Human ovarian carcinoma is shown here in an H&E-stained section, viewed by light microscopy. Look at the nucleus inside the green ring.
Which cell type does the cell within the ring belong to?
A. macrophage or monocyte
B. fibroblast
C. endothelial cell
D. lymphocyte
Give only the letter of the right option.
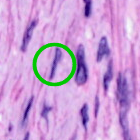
B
